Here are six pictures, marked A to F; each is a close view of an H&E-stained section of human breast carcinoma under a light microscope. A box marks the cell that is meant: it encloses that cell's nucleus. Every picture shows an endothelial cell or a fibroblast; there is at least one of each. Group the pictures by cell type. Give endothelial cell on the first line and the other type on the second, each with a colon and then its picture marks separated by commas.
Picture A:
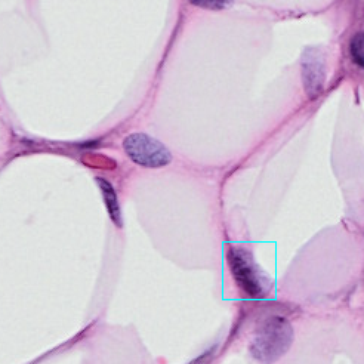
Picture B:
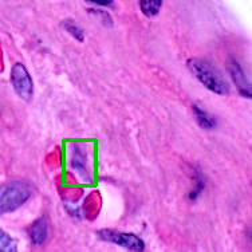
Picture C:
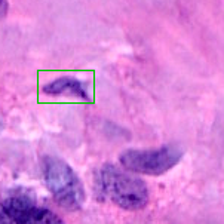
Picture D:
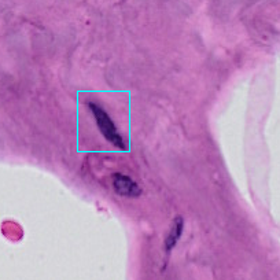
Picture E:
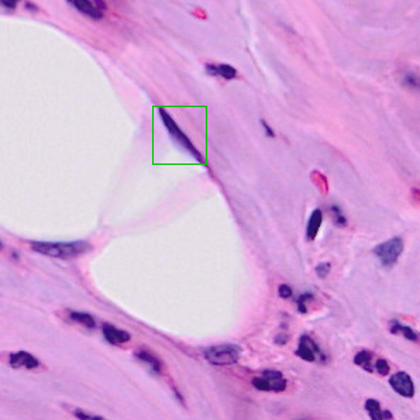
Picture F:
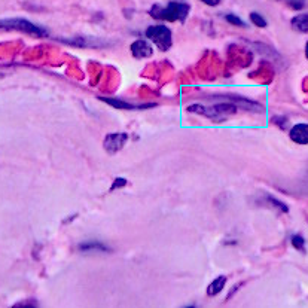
endothelial cell: A, B, F
fibroblast: C, D, E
